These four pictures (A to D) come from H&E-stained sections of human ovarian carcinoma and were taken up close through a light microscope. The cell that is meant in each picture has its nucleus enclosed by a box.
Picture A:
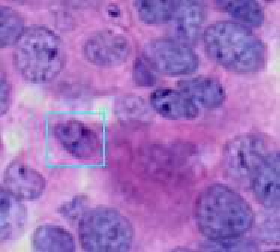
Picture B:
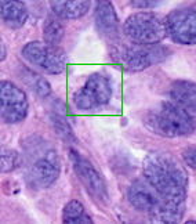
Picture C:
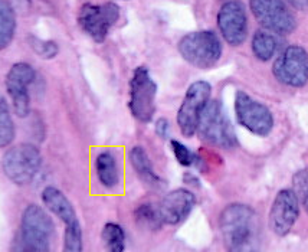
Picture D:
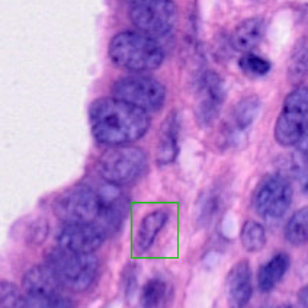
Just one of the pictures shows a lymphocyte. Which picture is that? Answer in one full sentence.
Picture C is the one that shows the lymphocyte.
